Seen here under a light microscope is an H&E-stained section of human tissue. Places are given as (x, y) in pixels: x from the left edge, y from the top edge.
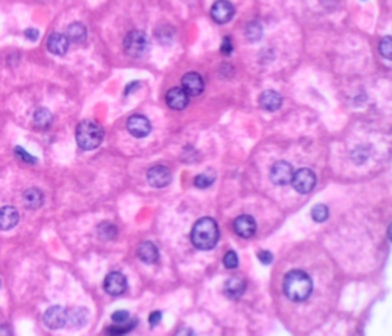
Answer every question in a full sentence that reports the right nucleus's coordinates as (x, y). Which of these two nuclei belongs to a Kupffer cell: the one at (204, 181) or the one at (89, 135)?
In this pair, the nucleus at (204, 181) belongs to a Kupffer cell.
